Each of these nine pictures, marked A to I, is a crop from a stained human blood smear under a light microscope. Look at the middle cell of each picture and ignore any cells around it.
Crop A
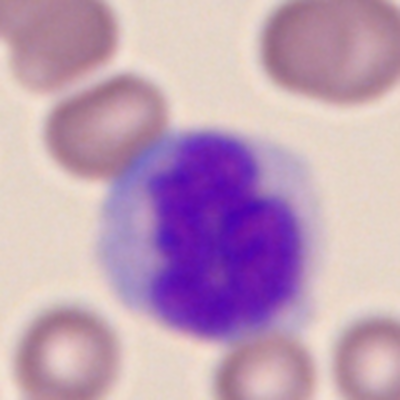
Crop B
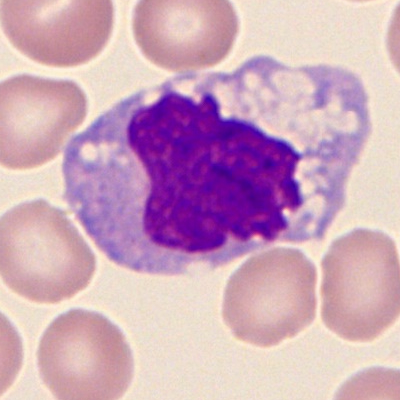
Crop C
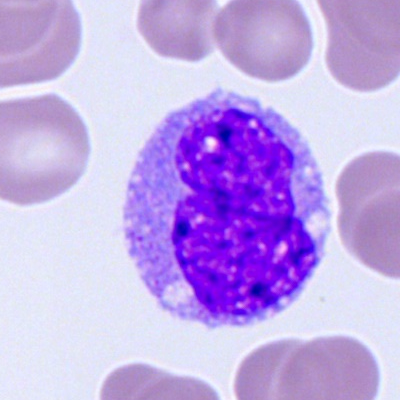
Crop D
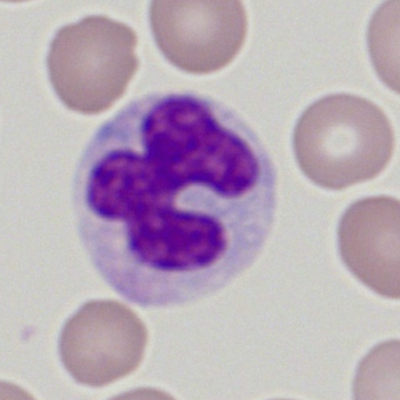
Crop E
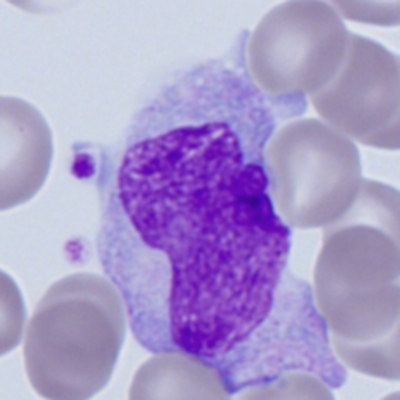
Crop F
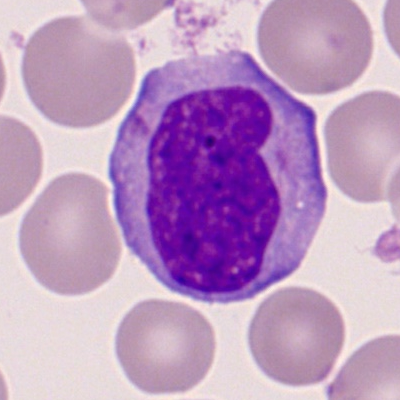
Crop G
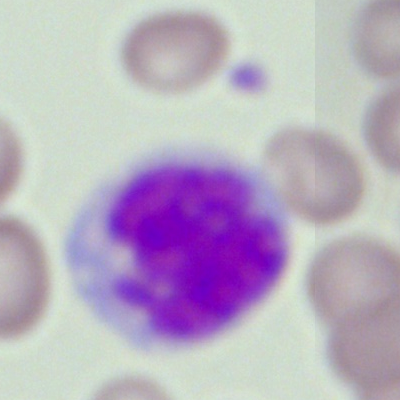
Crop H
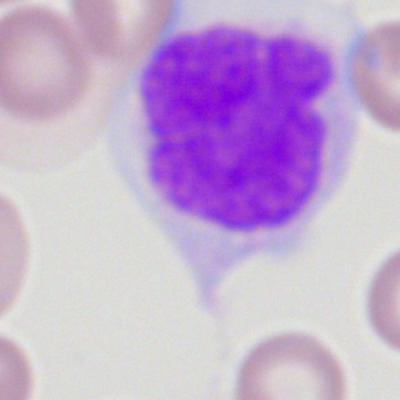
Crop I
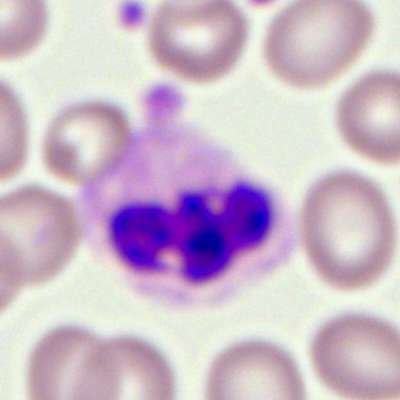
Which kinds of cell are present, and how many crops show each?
monocyte: 8
segmented neutrophil: 1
